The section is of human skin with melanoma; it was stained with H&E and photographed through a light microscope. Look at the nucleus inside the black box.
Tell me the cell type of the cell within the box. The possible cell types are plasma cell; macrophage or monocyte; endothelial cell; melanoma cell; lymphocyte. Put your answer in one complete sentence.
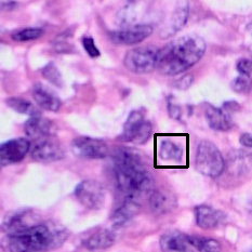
With respect to cell type, the cell within the box is a macrophage or monocyte.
